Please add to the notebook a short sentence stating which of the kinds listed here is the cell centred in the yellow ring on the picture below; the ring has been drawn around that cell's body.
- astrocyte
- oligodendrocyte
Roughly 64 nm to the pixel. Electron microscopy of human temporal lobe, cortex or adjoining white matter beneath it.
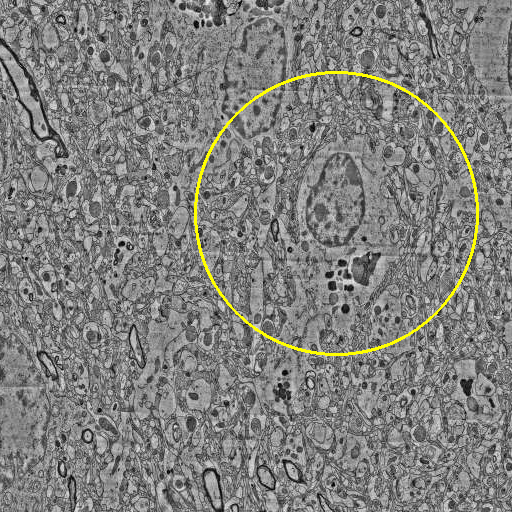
The cell centred in the yellow ring is an astrocyte.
